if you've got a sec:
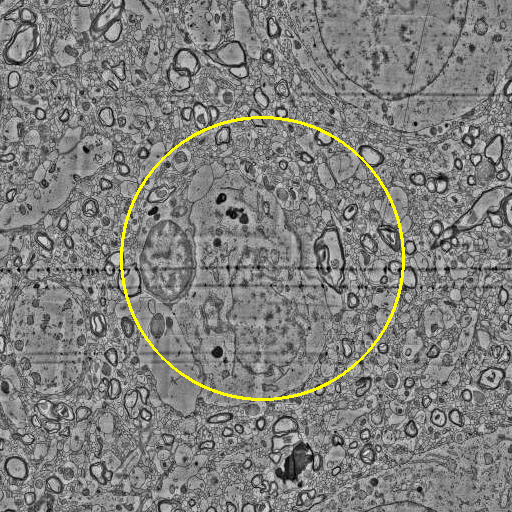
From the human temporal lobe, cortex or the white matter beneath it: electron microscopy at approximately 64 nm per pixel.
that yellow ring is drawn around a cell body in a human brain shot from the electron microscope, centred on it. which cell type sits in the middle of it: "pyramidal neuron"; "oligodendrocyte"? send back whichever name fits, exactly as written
oligodendrocyte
